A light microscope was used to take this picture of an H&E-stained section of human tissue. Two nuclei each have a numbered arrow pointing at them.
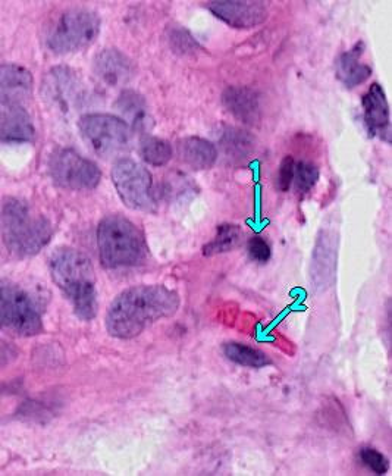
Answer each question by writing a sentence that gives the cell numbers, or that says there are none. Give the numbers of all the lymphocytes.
Unlike the other numbered cells, cell 1 is a lymphocyte.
